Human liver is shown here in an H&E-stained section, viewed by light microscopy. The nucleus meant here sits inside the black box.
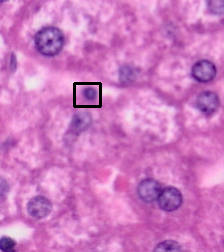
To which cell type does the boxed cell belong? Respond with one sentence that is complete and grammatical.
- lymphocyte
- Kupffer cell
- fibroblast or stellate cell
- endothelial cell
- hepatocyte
The correct response here is that the boxed cell is a lymphocyte.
